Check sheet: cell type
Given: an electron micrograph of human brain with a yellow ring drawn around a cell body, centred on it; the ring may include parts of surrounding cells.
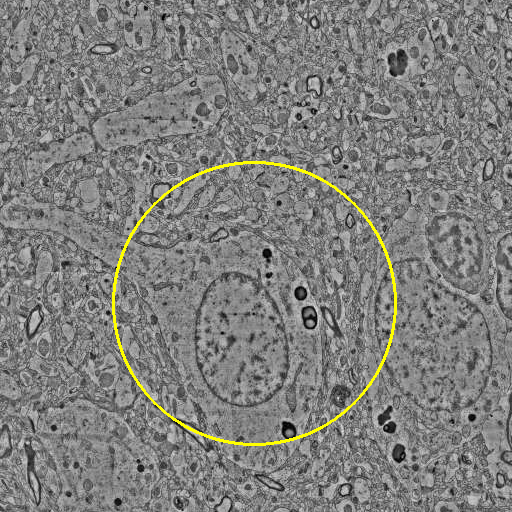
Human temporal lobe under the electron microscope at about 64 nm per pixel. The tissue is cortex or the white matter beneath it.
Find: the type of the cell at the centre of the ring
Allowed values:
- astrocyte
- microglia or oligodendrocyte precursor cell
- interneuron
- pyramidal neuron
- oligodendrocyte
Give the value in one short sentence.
Here the ringed cell is a pyramidal neuron.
